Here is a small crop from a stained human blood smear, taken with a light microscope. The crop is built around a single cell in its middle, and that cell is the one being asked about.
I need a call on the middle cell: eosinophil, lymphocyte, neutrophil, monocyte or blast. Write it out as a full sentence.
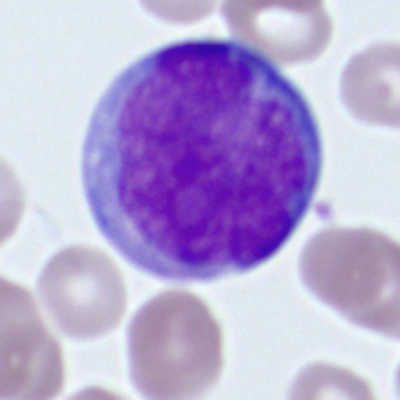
The central cell in this smear crop is a blast.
